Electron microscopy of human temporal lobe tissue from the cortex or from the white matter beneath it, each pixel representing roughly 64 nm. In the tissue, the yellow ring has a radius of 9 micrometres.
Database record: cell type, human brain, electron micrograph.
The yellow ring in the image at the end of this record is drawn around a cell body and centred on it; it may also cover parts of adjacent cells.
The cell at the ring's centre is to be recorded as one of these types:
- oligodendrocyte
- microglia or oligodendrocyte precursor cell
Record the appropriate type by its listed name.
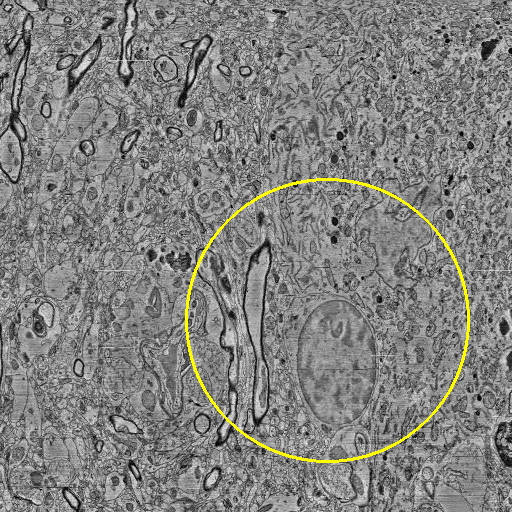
oligodendrocyte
